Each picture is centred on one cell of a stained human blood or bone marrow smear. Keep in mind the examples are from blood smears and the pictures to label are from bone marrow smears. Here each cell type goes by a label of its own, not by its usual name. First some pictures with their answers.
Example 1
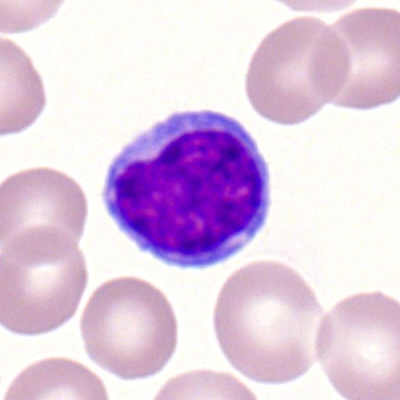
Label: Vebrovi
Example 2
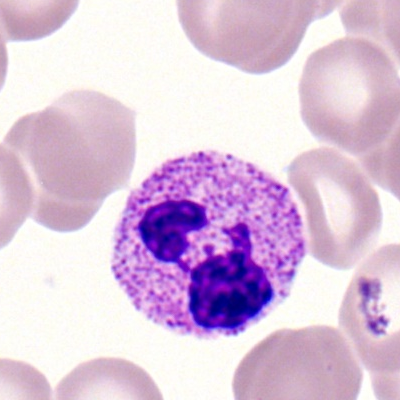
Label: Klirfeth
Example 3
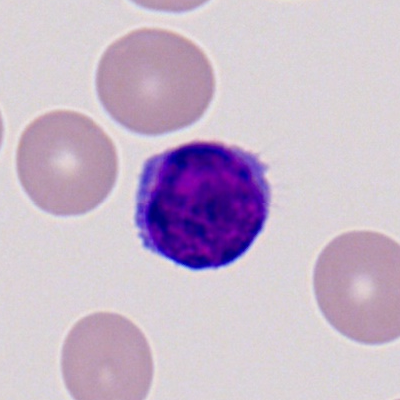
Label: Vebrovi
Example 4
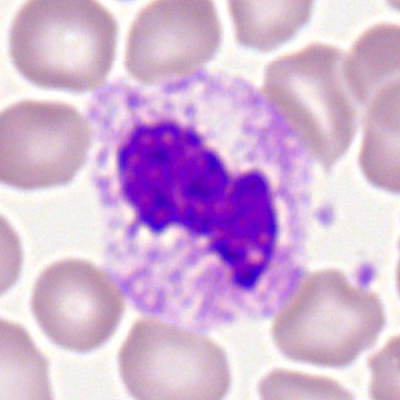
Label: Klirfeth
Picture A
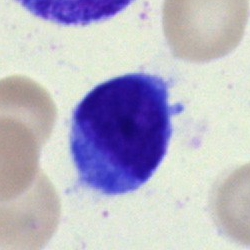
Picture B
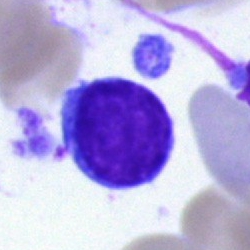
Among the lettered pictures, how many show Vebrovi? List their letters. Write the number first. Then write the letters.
2: A, B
